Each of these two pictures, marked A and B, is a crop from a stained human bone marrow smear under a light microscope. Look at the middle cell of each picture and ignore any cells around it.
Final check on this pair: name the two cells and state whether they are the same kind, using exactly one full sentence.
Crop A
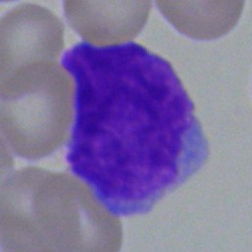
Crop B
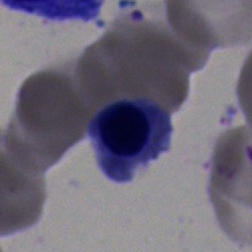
No, on this set crop A shows a blast and crop B shows a normoblast.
